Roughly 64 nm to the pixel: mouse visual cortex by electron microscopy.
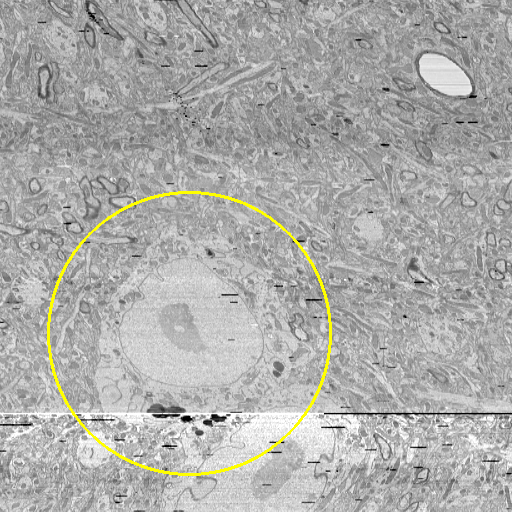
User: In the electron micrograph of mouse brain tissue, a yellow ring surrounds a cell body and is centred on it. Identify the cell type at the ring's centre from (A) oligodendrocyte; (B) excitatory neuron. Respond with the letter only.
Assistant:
B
